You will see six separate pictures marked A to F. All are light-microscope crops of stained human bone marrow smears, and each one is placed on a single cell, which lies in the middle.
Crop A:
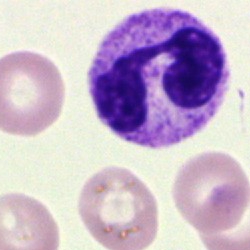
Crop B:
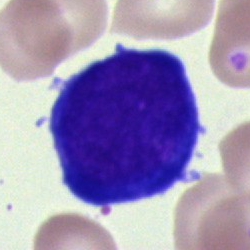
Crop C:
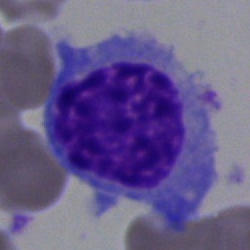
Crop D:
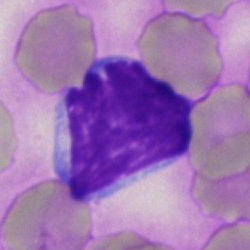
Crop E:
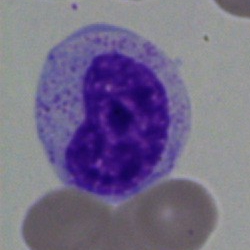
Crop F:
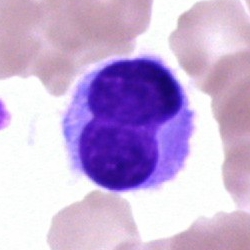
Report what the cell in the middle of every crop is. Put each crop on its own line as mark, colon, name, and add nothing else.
A: segmented neutrophil
B: proerythroblast
C: hairy cell
D: lymphocyte
E: metamyelocyte
F: hairy cell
